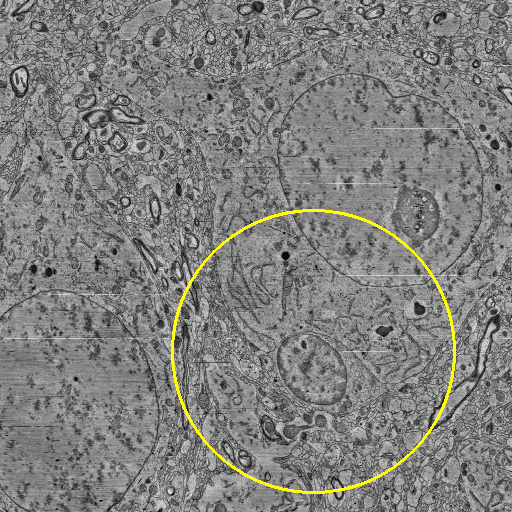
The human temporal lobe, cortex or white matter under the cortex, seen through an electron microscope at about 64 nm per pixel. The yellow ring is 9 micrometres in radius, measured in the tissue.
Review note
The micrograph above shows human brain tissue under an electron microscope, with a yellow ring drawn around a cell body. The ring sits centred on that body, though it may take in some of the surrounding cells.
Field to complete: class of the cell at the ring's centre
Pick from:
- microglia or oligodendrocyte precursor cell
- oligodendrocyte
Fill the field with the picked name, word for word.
oligodendrocyte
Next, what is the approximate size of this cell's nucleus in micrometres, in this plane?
In this plane, about 5 micrometres in length and 4 in width.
